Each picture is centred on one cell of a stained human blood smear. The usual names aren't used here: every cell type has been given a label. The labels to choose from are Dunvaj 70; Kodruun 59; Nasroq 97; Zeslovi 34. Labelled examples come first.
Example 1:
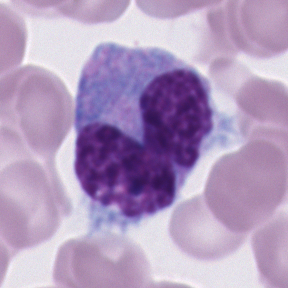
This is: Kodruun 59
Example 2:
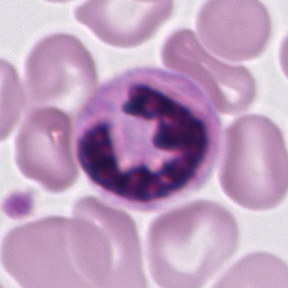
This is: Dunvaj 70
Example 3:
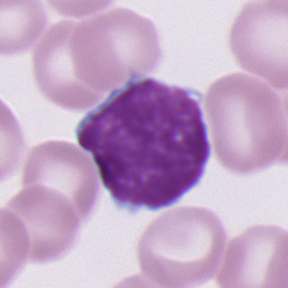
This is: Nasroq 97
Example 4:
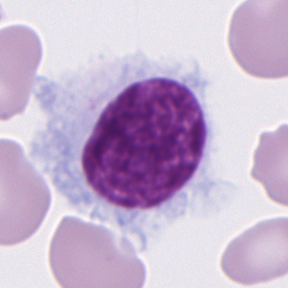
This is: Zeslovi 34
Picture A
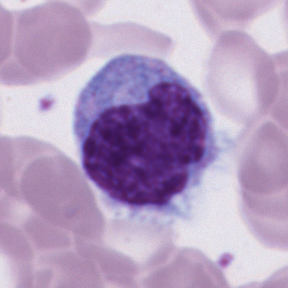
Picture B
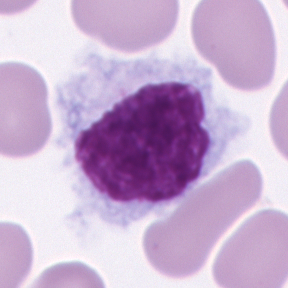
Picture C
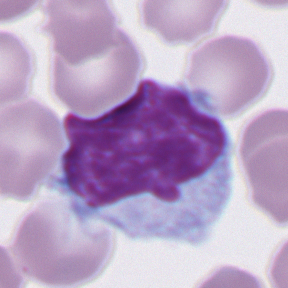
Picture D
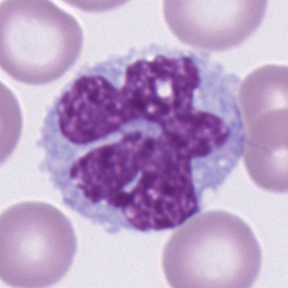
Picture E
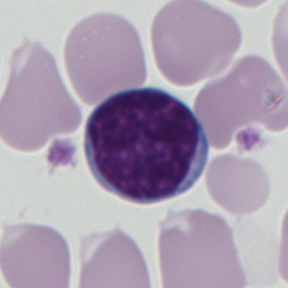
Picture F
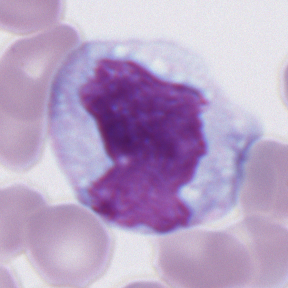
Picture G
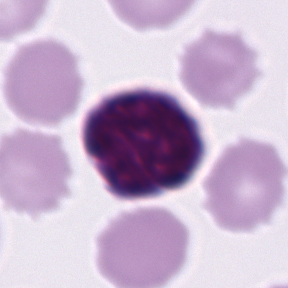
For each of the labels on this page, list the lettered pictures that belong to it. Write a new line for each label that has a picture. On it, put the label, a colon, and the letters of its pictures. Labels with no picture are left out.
Kodruun 59: A, C, D, F
Nasroq 97: E, G
Zeslovi 34: B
